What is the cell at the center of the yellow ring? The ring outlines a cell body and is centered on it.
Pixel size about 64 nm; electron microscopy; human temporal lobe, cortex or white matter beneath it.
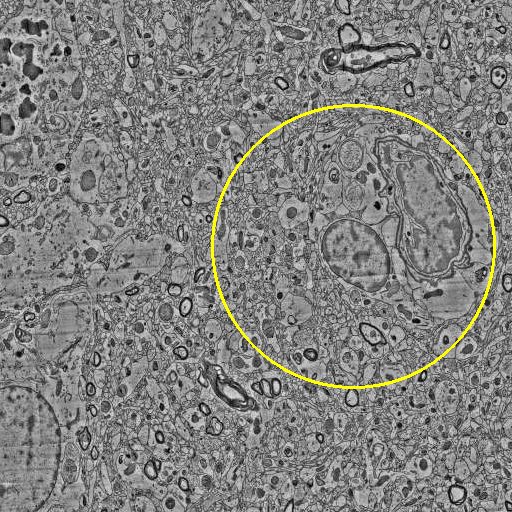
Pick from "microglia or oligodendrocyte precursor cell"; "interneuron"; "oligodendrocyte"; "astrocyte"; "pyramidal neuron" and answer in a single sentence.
The yellow ring is centered on a microglial cell or oligodendrocyte precursor cell.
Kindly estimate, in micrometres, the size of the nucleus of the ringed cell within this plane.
Approximately 5 by 4 micrometers in this plane.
